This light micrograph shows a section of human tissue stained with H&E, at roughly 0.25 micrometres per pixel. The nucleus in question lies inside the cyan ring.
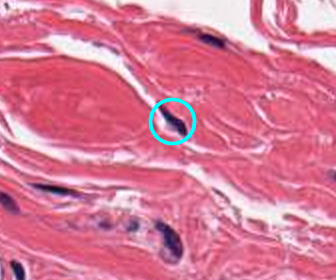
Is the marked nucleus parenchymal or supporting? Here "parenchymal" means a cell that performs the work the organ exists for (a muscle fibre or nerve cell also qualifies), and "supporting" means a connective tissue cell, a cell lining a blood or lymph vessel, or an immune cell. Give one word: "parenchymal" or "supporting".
supporting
